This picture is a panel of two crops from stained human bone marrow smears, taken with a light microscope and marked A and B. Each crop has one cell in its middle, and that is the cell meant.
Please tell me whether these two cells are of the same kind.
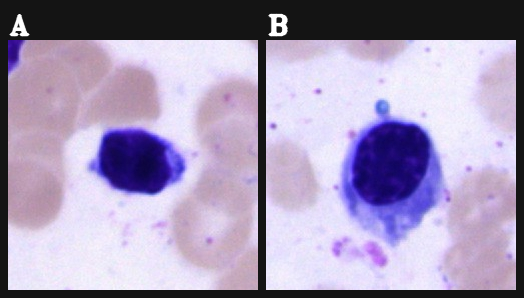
no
